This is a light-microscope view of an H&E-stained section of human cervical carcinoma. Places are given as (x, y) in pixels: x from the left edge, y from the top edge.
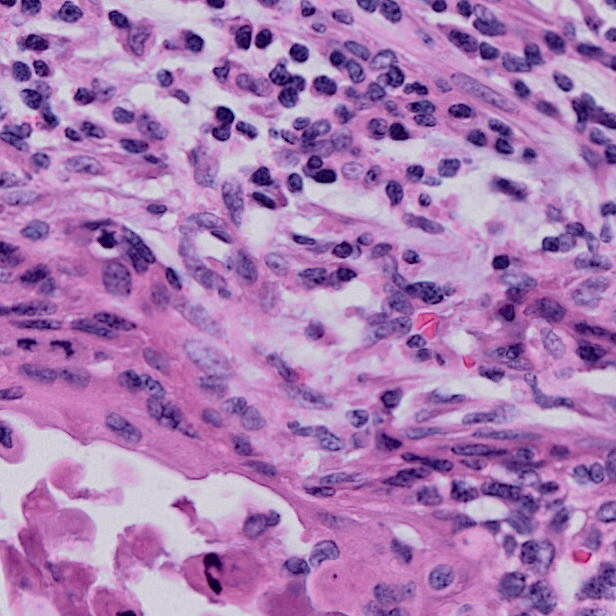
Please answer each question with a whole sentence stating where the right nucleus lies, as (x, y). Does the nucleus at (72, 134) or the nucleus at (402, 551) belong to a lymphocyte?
Rather than the other nucleus, the one at (72, 134) belongs to a lymphocyte.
